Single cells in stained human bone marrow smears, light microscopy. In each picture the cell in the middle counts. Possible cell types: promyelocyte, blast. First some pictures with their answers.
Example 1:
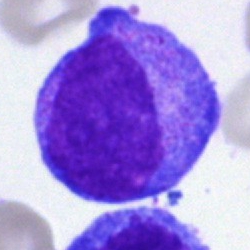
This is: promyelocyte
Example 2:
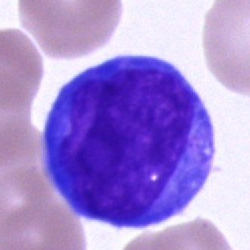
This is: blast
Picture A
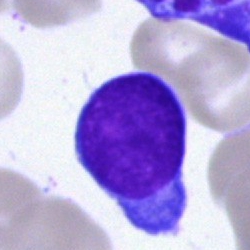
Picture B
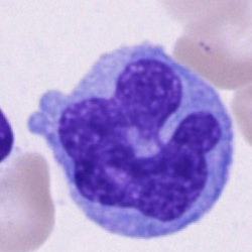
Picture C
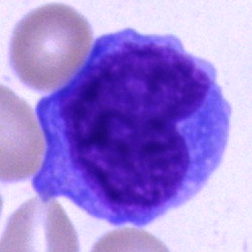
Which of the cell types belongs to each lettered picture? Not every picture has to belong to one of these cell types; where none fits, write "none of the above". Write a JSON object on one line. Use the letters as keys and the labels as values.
{"A": "blast", "B": "none of the above", "C": "blast"}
